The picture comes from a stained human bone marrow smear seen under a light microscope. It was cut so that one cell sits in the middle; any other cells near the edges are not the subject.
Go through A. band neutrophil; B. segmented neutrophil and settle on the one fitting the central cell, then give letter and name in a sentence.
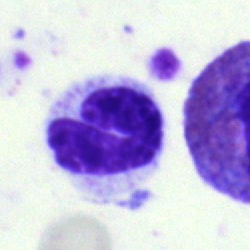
According to option A, which is correct, the cell in the middle is a band neutrophil.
